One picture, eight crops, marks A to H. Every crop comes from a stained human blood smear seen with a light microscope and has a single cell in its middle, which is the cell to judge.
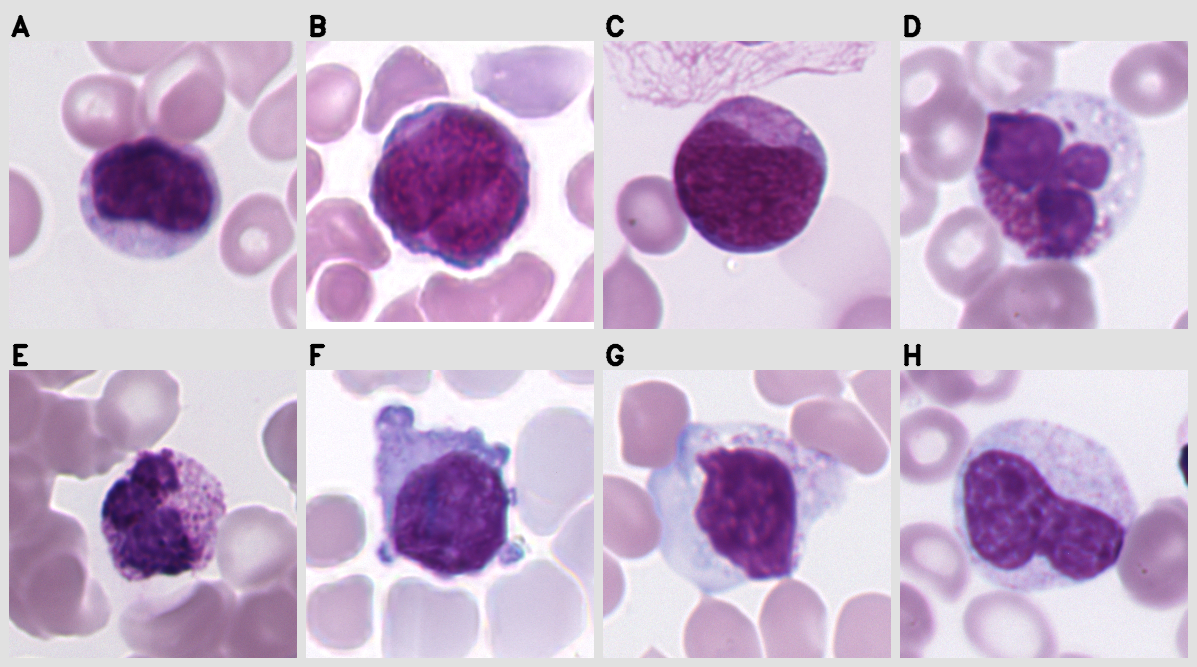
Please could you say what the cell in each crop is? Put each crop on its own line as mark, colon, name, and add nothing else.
A: metamyelocyte
B: atypical promyelocyte
C: myeloblast
D: eosinophil
E: basophil
F: plasma cell
G: large granular lymphocyte
H: band neutrophil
